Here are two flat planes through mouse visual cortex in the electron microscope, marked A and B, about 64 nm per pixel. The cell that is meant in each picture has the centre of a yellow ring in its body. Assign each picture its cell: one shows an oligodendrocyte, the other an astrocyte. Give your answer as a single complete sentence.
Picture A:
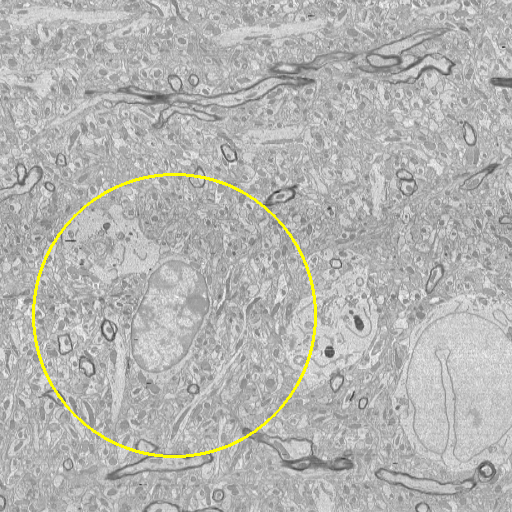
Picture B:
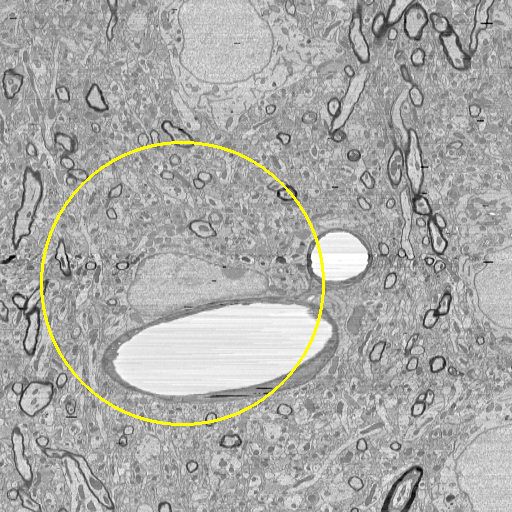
It is picture A that shows an oligodendrocyte, and picture B that shows an astrocyte.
